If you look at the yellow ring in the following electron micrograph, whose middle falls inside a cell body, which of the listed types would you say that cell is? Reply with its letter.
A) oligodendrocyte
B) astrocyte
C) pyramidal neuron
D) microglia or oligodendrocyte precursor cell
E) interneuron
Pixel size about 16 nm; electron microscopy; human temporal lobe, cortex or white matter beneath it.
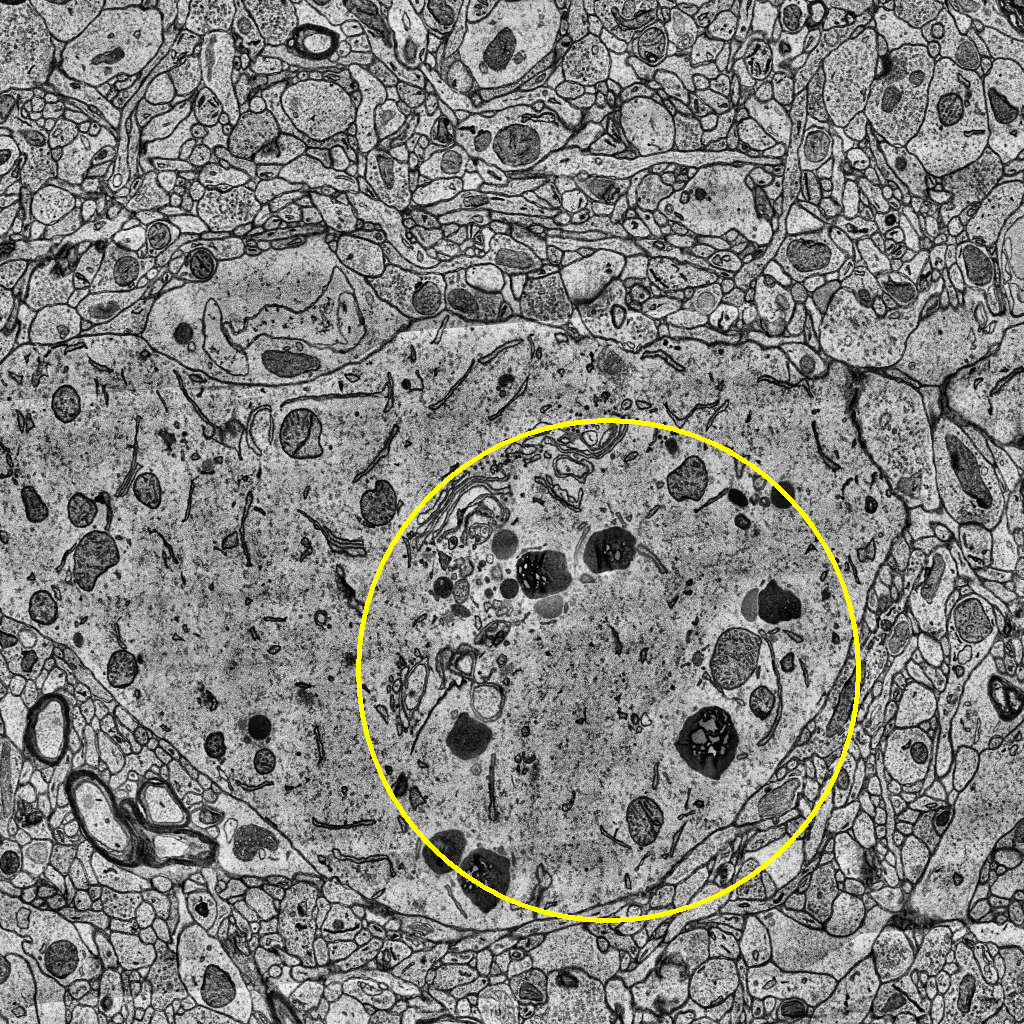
C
